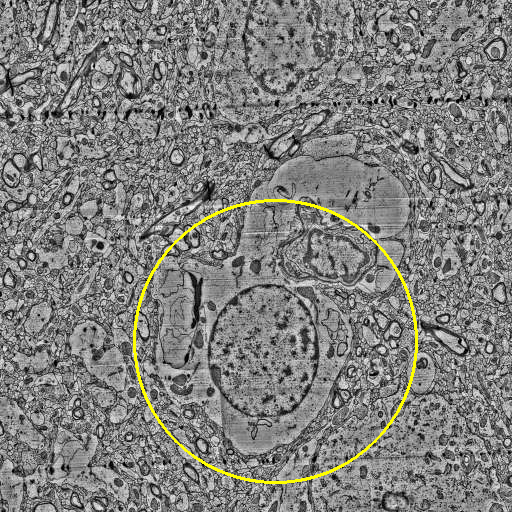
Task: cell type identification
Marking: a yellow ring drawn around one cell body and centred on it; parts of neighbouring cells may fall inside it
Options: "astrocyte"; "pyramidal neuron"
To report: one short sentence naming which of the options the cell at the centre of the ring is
The cell at the centre of the ring is an astrocyte.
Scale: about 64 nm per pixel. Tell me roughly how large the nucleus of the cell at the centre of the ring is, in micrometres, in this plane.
The ringed cell's nucleus is about 9 micrometres long and 7 micrometres wide in this plane.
